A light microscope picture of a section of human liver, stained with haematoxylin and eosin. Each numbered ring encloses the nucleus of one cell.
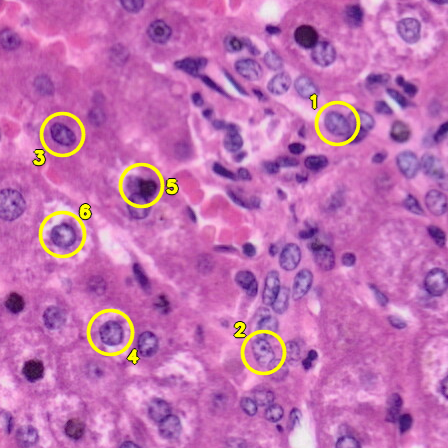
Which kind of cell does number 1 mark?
cholangiocyte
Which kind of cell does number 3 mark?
hepatocyte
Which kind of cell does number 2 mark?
cholangiocyte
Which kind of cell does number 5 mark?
hepatocyte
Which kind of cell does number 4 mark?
hepatocyte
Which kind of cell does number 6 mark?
hepatocyte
